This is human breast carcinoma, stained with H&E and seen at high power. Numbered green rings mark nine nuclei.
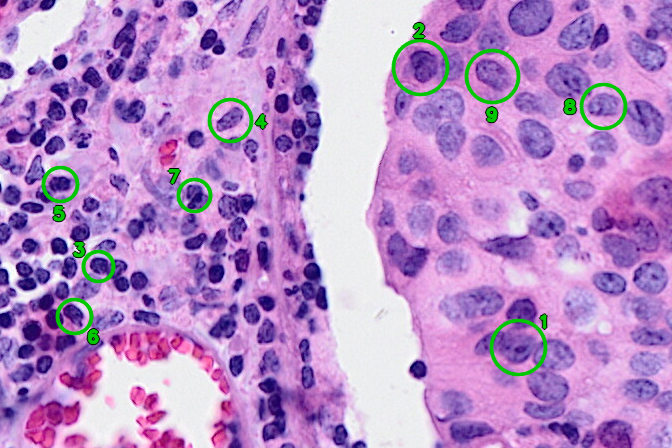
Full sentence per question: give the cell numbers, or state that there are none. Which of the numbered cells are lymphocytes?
On this slide, the cells numbered 3, 5, 6 and 7 are lymphocytes.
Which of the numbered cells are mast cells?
Cell 4 is a mast cell, while every other numbered cell is not.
